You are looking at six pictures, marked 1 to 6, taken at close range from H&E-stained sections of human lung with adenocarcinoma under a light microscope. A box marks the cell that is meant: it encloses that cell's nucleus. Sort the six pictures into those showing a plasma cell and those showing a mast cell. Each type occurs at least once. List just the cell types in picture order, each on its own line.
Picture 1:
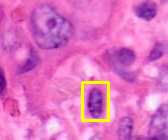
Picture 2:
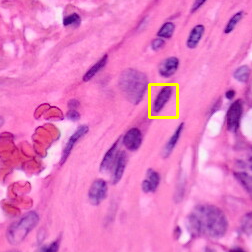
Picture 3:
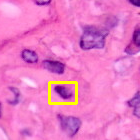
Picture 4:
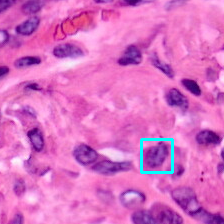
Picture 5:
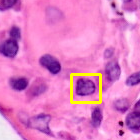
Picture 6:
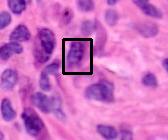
mast cell
plasma cell
mast cell
plasma cell
mast cell
plasma cell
